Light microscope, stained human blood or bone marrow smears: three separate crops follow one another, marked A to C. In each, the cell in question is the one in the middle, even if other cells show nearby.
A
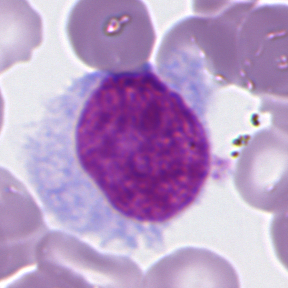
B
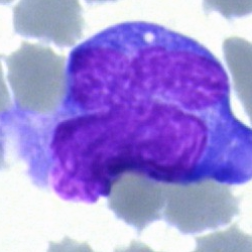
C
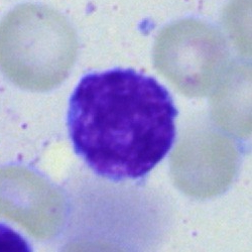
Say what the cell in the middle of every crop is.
A: hairy cell
B: monocyte
C: lymphocyte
